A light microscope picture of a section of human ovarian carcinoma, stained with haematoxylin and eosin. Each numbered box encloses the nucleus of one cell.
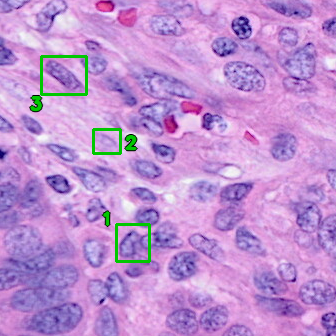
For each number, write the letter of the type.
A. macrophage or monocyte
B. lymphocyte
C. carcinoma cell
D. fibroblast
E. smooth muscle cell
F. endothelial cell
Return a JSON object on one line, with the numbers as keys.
{"1": "F", "2": "D", "3": "D"}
